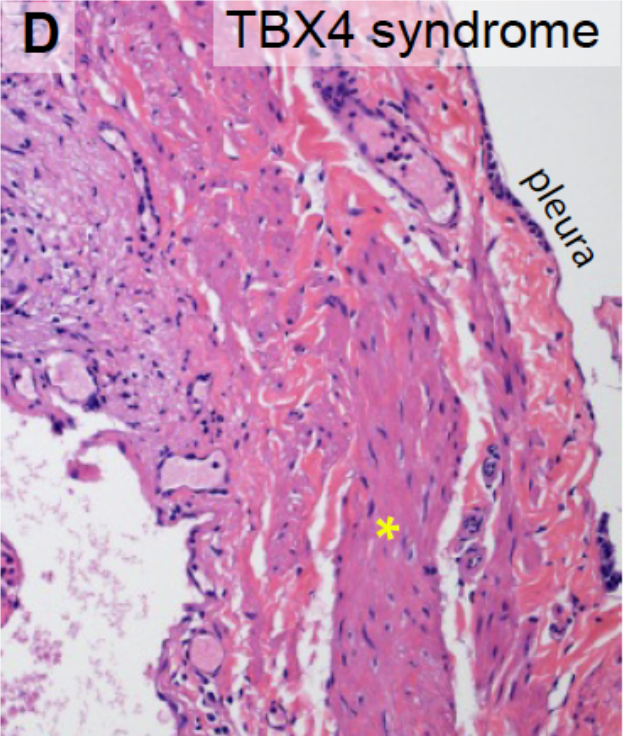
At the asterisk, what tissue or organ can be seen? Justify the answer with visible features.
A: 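Smooth muscle. Pink-staining bundles of spindle-shaped cells with elongated nuclei. The bundles lie just beneath the surface lining of the lung.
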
